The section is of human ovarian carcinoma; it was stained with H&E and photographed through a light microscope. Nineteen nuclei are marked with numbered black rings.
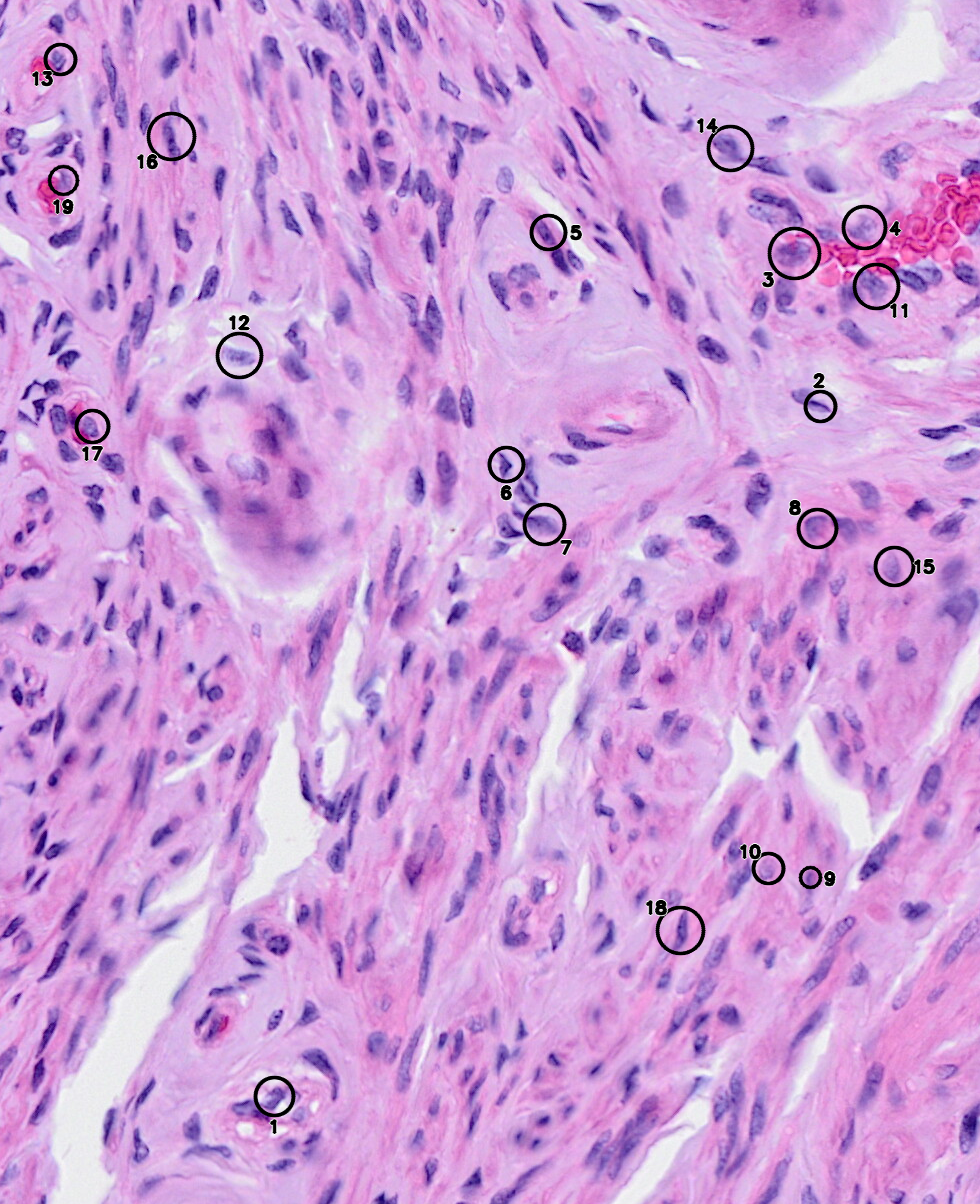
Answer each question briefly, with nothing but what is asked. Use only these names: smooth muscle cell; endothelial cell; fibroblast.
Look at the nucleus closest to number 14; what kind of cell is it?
fibroblast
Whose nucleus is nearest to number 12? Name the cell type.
fibroblast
